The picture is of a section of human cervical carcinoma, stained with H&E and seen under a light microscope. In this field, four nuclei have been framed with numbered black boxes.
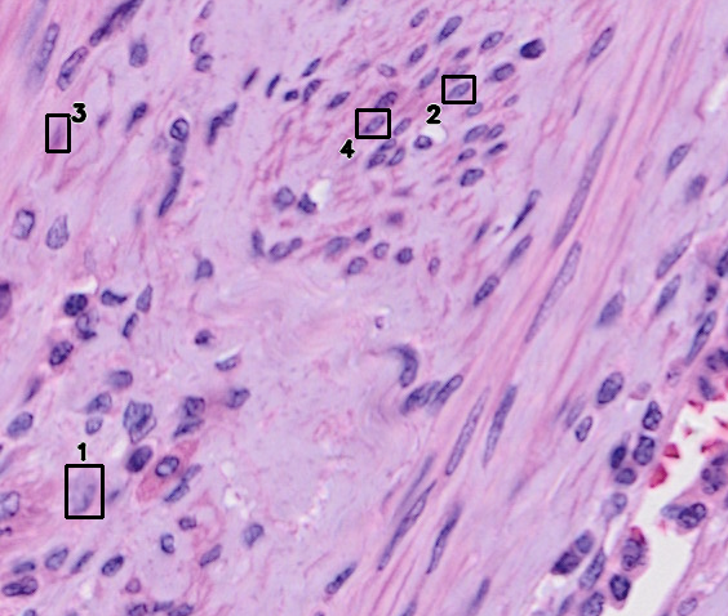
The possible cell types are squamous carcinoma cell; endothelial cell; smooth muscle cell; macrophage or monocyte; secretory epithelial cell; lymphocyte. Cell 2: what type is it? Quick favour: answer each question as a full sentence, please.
Heads up, the cell numbered 2 is a smooth muscle cell.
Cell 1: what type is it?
At number 1, the marked cell is an endothelial cell.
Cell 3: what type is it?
The numbered cell 3 in this field is a smooth muscle cell.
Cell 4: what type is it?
The marked nucleus 4 is that of a smooth muscle cell.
